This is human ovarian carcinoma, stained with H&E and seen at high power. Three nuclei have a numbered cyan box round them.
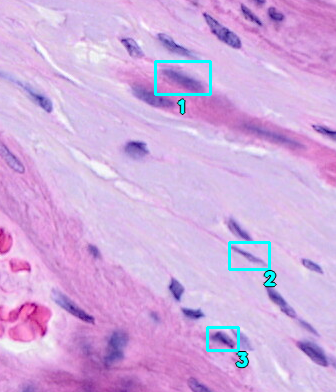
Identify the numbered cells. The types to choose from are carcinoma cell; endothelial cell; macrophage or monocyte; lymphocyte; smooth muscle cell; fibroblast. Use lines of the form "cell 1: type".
cell 1: smooth muscle cell
cell 2: fibroblast
cell 3: smooth muscle cell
